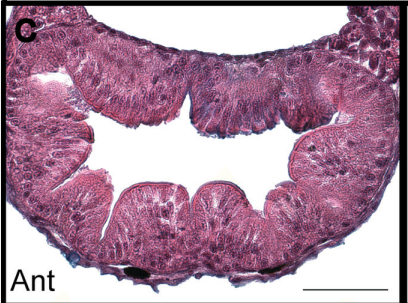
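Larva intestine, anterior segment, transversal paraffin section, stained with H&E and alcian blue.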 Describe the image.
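The epithelium forms broad folds that project into the lumen. The cells have pink cytoplasm and oval nuclei lying toward the base, giving a palisaded look. A thin outer wall with a few dark pigment spots surrounds the epithelium, and blue staining is scarcely seen here.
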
